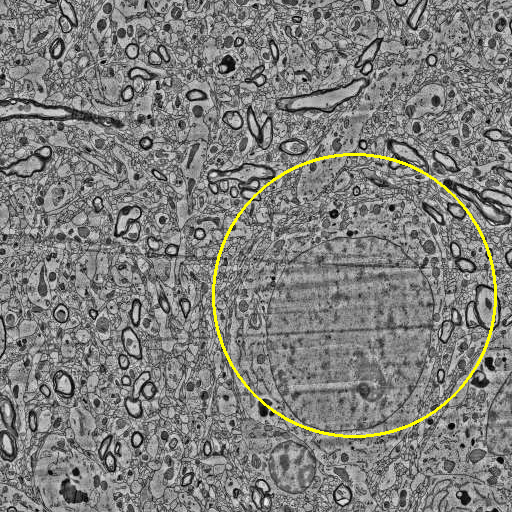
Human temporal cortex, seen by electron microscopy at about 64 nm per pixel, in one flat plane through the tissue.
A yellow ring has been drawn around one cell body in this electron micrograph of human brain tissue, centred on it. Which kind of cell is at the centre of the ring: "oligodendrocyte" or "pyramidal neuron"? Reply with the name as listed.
pyramidal neuron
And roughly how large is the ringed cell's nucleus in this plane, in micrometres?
In this plane, the nucleus is roughly 13 by 11 micrometres.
